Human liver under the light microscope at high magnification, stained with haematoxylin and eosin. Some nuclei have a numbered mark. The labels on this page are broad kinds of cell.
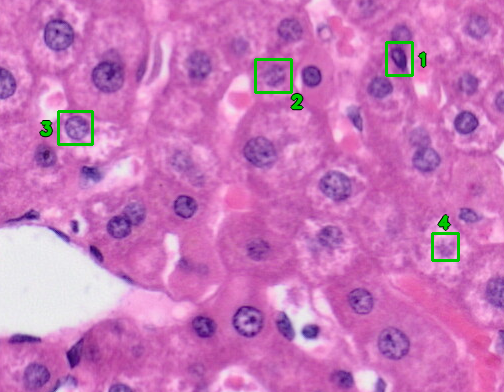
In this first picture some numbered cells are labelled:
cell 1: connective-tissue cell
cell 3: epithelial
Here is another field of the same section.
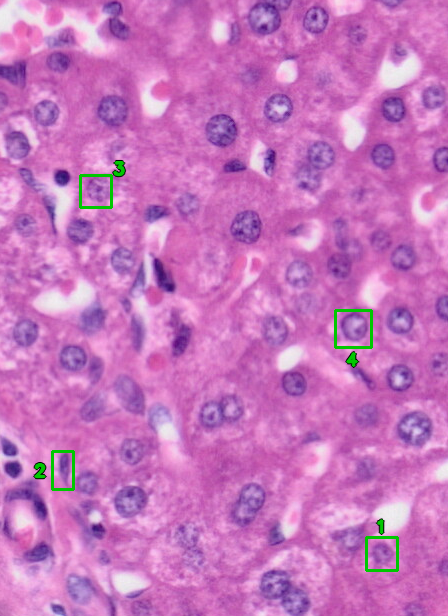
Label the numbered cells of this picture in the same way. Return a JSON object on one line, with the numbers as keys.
{"1": "epithelial", "2": "connective-tissue cell", "3": "epithelial", "4": "epithelial"}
